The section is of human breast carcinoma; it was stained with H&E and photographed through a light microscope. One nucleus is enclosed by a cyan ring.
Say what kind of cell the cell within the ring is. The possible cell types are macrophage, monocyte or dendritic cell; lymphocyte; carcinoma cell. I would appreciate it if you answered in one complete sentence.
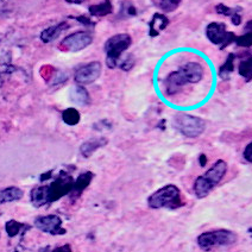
In terms of identity, the cell within the ring is a macrophage, monocyte or dendritic cell.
